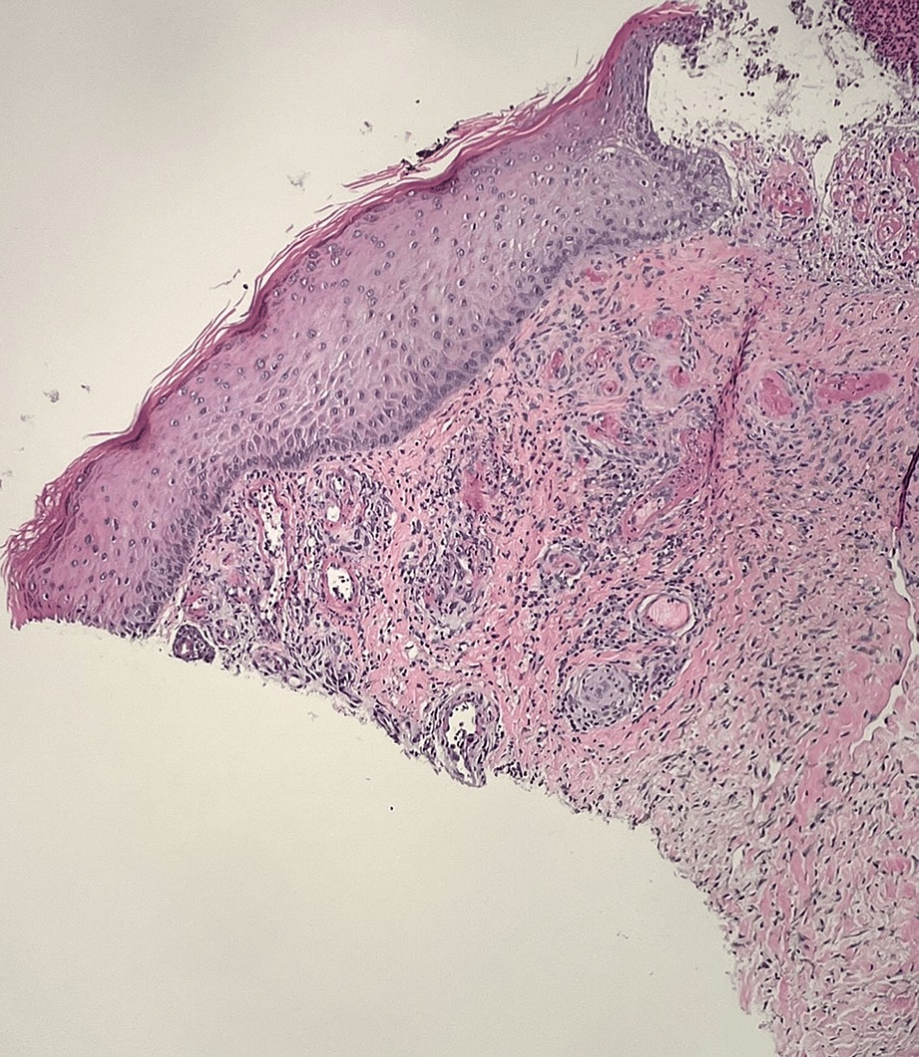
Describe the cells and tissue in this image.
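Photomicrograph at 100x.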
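This is skin seen at low power. Along the upper left runs the epidermis, a stratified squamous epithelium. Its basal cells form a darker purple band at the bottom, and paler, larger cells lie above them. A thin pink layer of keratin covers the surface. Below the epidermis lies the dermis, made of pink collagen. Many small blood vessels with round lumens are cut across in the dermis. Around them, small dark inflammatory nuclei gather densely, and they also crowd into the vessel walls. Some of the vessels contain or are rimmed by bright pink, glassy material.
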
